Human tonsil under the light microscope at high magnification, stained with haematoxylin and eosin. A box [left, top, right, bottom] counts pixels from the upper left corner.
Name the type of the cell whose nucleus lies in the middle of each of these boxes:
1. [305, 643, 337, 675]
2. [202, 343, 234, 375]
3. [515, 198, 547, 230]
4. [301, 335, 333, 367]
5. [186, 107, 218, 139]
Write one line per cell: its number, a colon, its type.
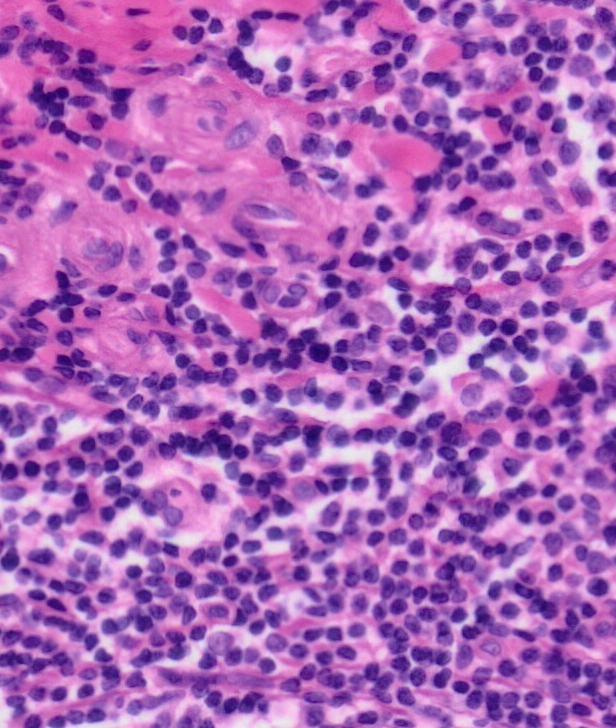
1: small lymphocyte
2: small lymphocyte
3: endothelial cell
4: small lymphocyte
5: endothelial cell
